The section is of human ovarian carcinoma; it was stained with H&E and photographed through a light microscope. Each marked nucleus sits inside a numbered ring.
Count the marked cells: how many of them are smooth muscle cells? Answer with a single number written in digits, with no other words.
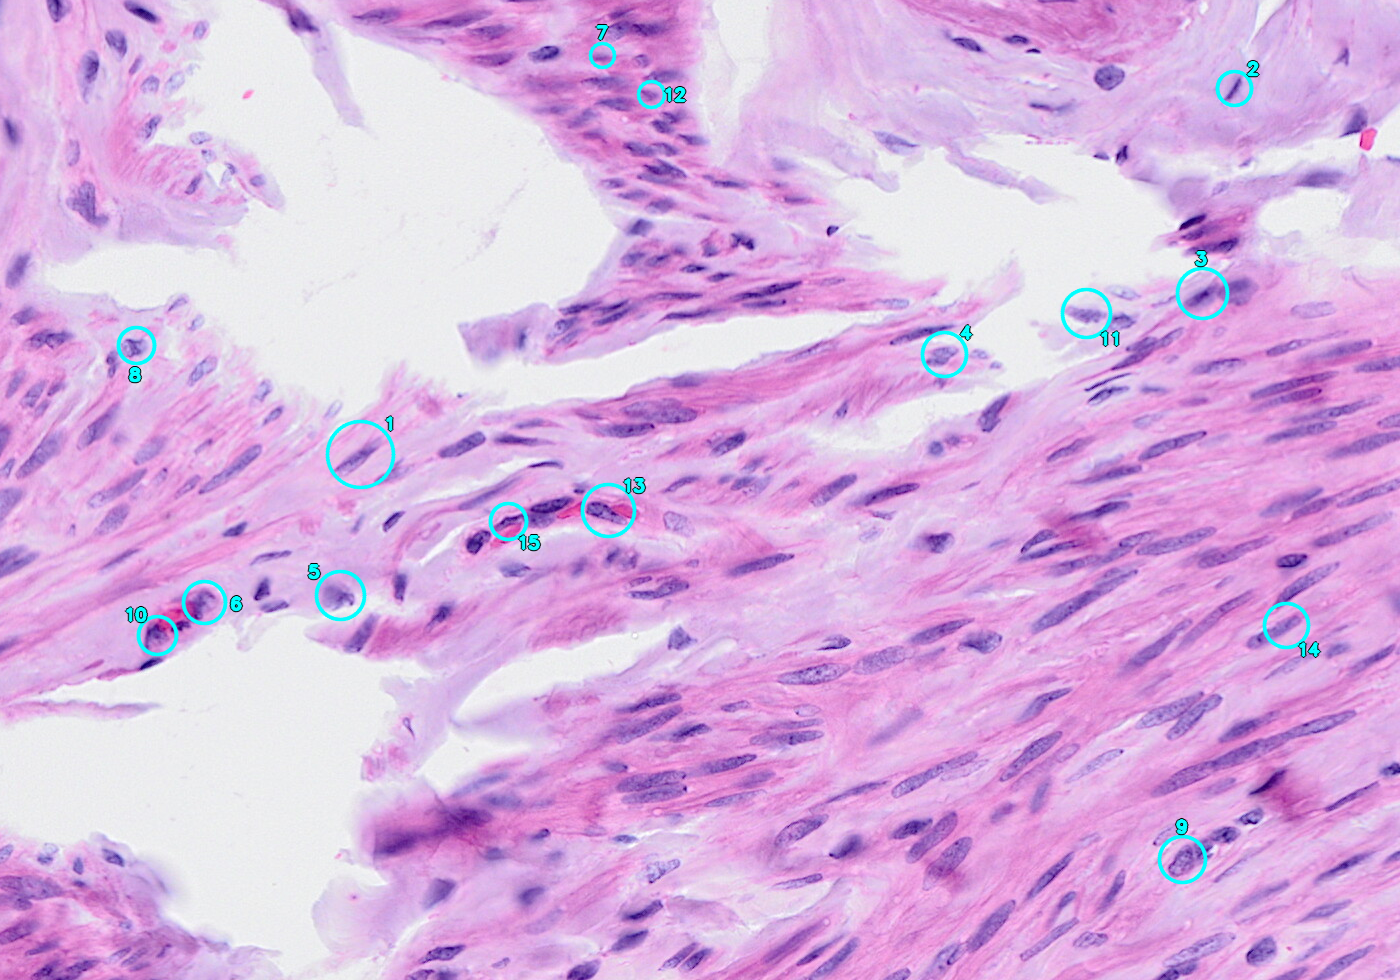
5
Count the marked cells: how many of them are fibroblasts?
5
